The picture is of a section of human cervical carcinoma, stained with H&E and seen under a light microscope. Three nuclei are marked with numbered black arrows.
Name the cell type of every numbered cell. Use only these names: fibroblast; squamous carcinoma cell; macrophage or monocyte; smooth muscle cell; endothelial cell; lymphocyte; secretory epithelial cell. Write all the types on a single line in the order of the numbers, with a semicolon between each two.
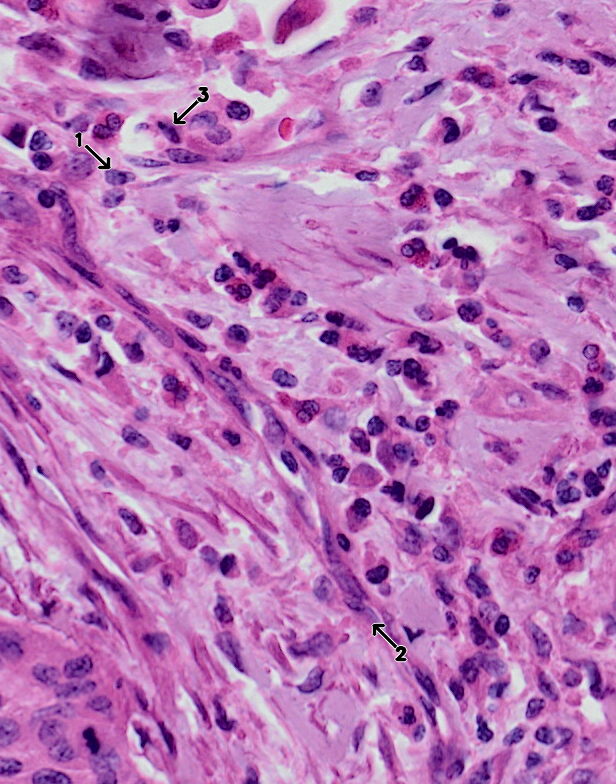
lymphocyte; endothelial cell; macrophage or monocyte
